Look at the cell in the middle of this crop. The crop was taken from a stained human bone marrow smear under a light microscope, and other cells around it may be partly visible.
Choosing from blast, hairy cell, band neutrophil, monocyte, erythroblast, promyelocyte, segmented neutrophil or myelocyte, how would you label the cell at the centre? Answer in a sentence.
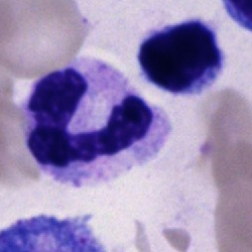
The cell at the central position in this crop is a segmented neutrophil.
